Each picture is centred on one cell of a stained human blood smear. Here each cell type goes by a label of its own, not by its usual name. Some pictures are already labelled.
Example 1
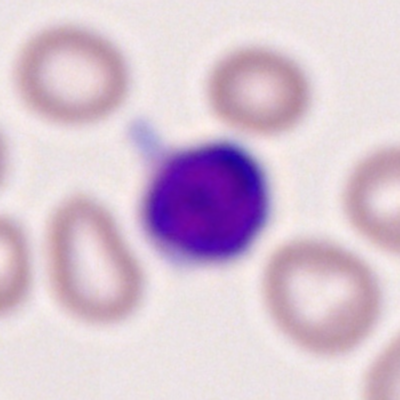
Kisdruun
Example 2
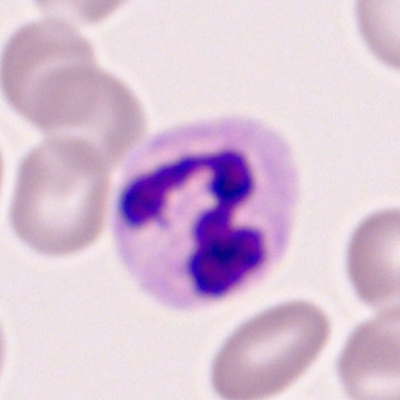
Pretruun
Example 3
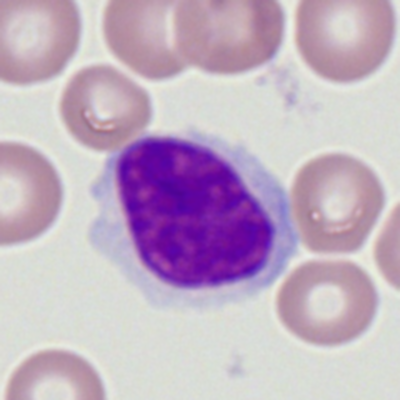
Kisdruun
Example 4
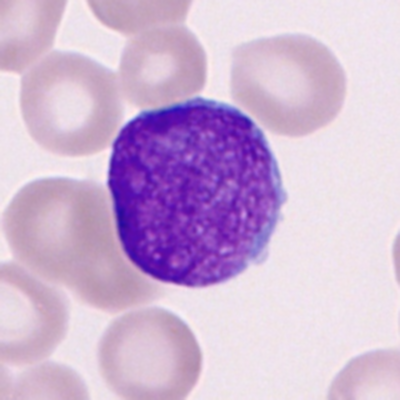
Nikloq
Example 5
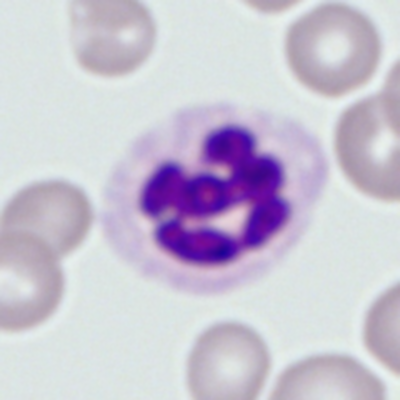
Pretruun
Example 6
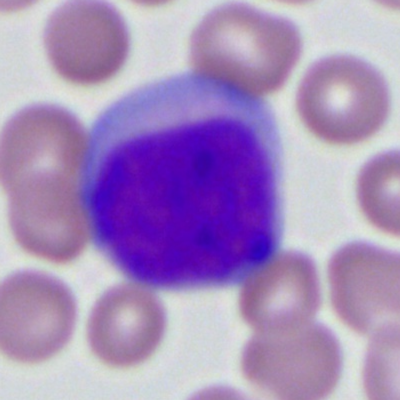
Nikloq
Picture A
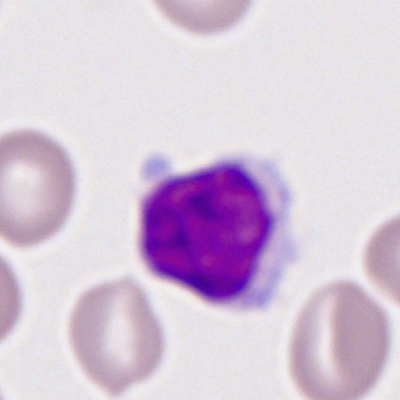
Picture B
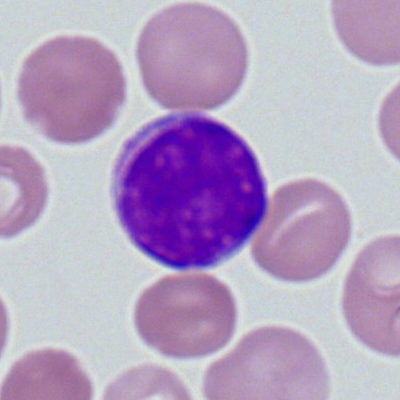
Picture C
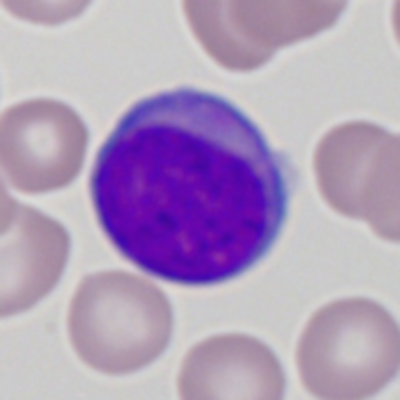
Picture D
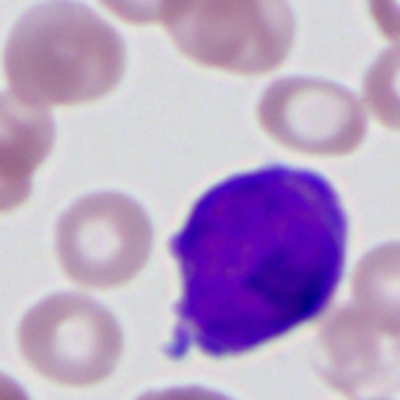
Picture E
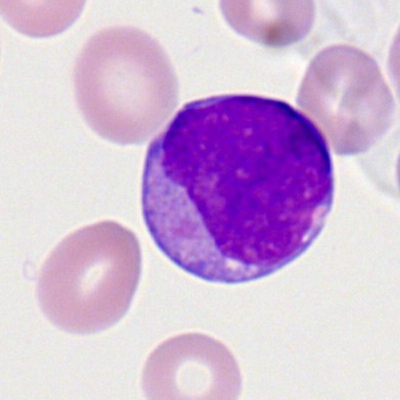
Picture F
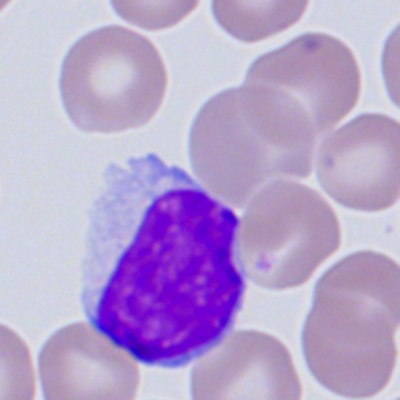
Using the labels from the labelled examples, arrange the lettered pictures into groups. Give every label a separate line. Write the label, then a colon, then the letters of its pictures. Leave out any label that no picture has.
Kisdruun: A, B, F
Nikloq: C, D, E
